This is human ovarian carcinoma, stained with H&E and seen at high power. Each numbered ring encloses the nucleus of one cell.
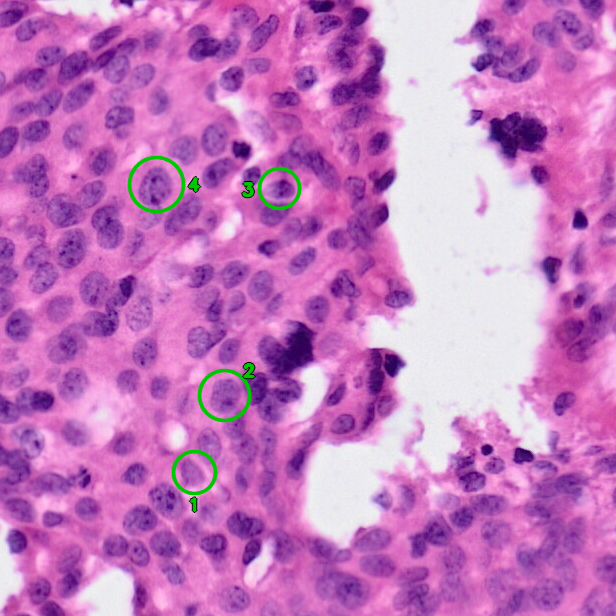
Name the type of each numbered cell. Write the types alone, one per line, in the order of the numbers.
carcinoma cell
carcinoma cell
macrophage or monocyte
carcinoma cell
